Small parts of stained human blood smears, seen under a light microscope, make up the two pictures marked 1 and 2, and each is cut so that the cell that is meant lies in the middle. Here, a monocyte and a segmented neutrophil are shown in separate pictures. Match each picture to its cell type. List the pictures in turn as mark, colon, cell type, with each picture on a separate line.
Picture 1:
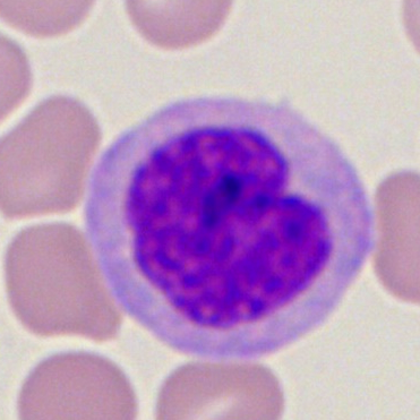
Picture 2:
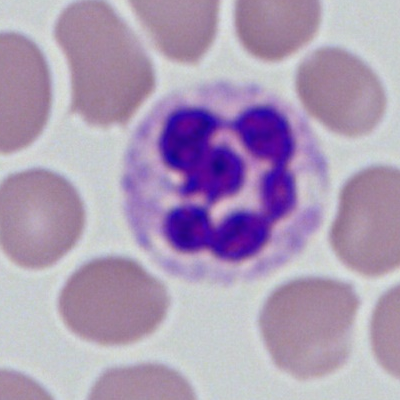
1: monocyte
2: segmented neutrophil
